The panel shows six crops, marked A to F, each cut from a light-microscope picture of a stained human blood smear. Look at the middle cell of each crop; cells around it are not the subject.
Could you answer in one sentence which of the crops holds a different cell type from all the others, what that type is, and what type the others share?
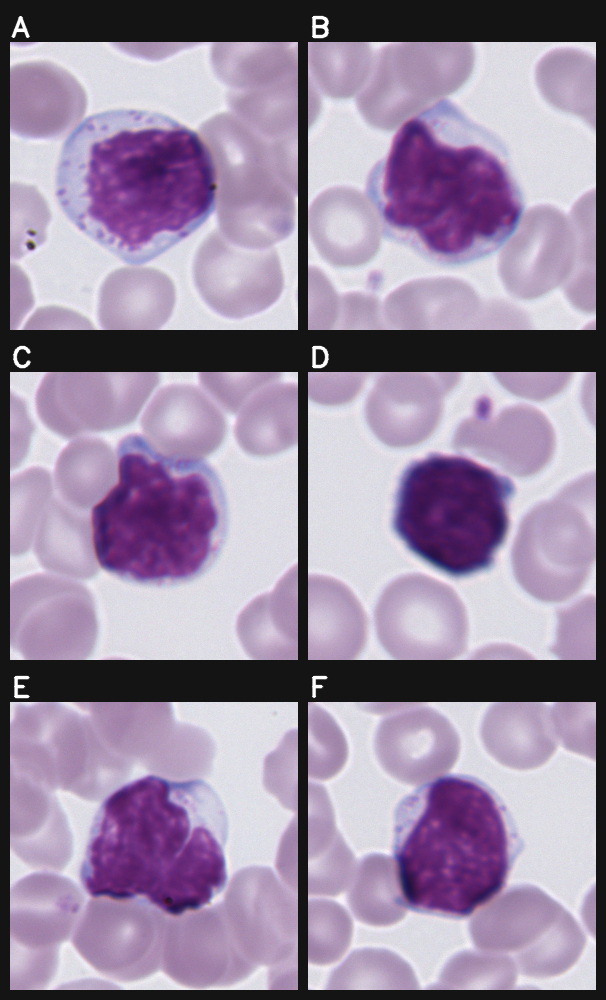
Crop D is the only crop with a typical lymphocyte, the others all showing large granular lymphocytes.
